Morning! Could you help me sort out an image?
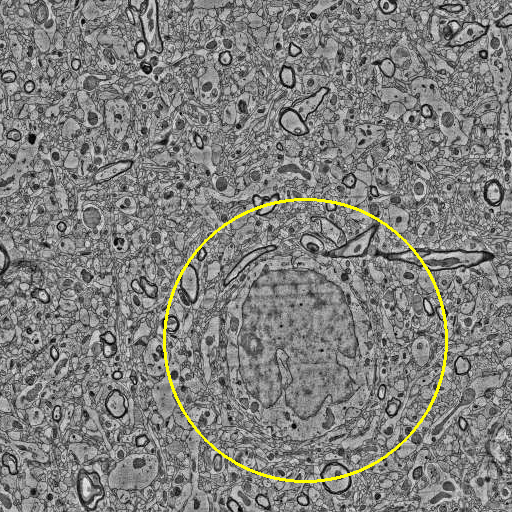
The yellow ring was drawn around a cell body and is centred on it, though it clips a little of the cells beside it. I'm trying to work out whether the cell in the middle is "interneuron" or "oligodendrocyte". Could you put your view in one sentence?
The ringed cell body is that of an interneuron.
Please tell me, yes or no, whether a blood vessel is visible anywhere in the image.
No, there is no blood vessel.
